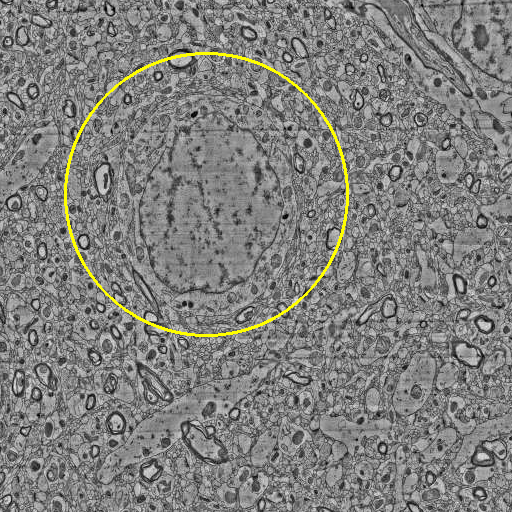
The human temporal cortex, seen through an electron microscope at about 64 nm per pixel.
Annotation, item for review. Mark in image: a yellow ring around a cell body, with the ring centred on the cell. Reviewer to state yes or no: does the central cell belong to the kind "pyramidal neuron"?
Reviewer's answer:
yes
